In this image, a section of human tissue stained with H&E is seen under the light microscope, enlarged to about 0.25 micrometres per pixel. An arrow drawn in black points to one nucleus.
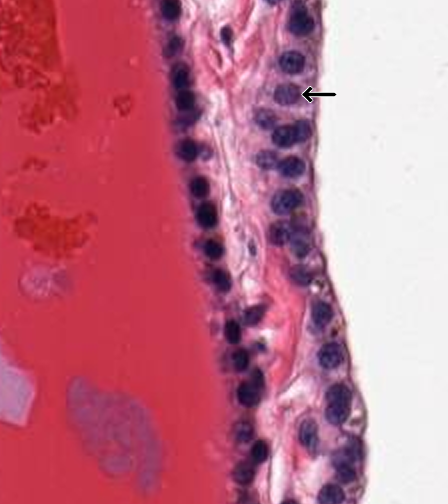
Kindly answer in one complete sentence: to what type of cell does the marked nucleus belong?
It is a thyroid follicular cell whose nucleus is marked.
